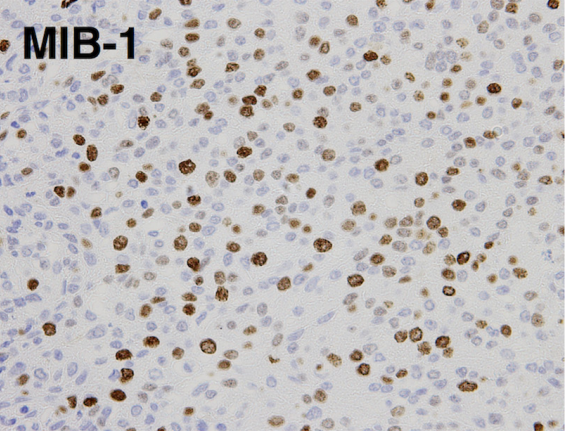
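This field of densely packed tumour cells shows many nuclei stained brown, scattered throughout among nuclei counterstained pale blue. The brown nuclei are round to oval and vary in intensity from light to dark brown. The cytoplasm is unstained, so the field is dominated by the nuclei, a large share of which are positive.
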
